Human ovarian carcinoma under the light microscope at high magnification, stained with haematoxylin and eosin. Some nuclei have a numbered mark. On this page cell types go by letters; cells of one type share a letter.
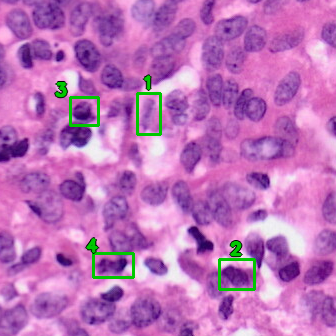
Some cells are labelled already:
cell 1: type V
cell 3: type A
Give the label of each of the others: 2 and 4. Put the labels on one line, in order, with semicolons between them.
type A; type A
